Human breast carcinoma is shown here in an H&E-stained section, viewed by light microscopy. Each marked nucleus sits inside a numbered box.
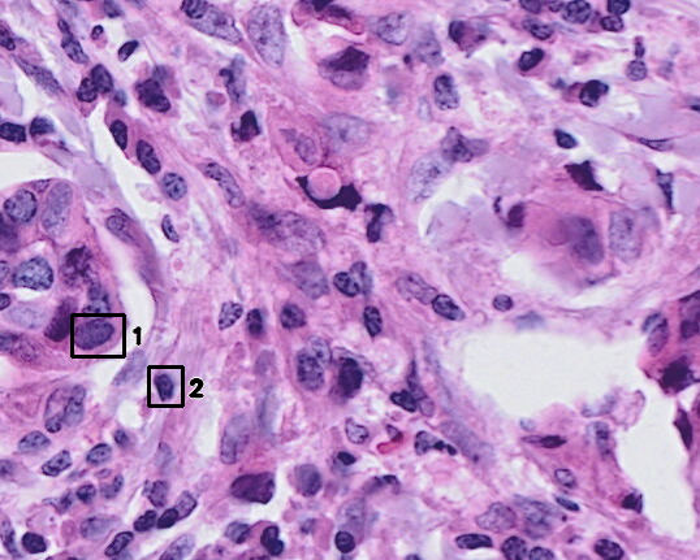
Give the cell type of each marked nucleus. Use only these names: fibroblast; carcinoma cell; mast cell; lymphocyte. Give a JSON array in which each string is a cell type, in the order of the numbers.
["carcinoma cell", "lymphocyte"]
